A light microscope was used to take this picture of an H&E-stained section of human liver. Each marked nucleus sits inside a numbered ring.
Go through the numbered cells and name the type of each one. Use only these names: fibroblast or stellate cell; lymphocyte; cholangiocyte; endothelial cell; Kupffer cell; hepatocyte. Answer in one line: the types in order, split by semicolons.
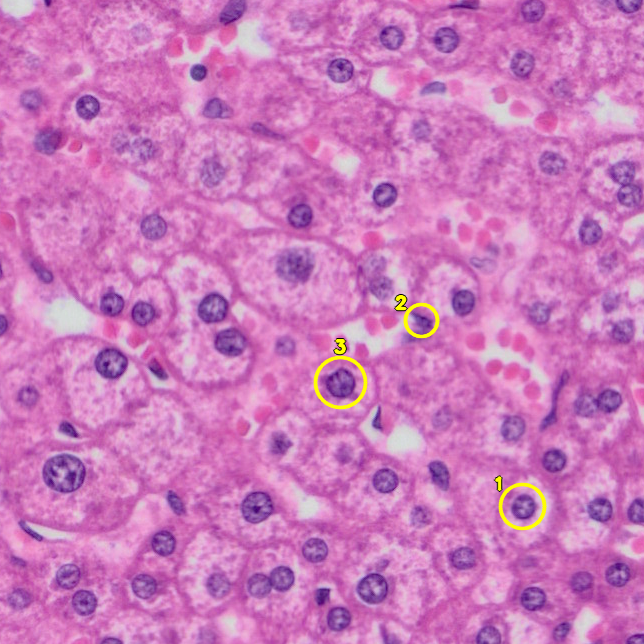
hepatocyte; fibroblast or stellate cell; hepatocyte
